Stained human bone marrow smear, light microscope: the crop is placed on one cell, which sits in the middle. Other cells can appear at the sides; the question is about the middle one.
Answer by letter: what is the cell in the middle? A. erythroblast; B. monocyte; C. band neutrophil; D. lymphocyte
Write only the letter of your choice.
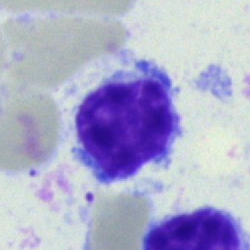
D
